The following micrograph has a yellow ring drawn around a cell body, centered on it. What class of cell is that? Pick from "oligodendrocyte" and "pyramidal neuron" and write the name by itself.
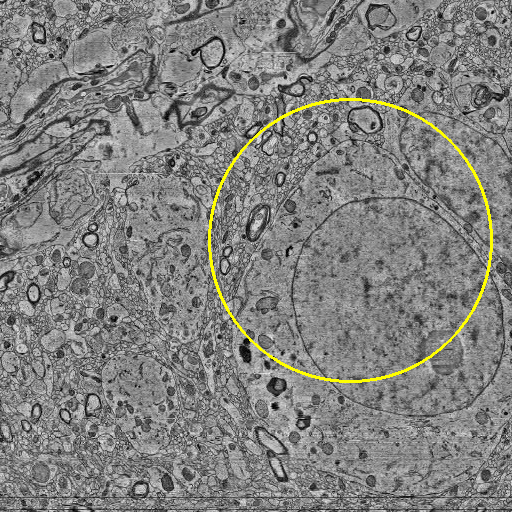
pyramidal neuron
